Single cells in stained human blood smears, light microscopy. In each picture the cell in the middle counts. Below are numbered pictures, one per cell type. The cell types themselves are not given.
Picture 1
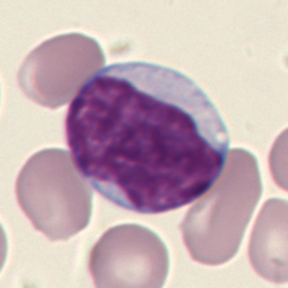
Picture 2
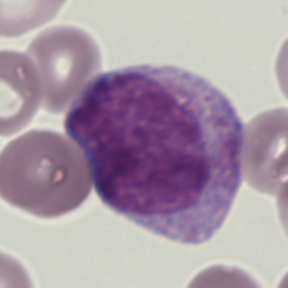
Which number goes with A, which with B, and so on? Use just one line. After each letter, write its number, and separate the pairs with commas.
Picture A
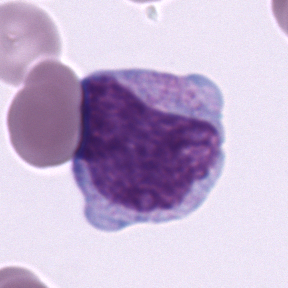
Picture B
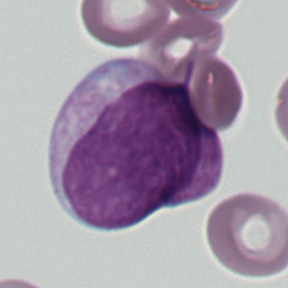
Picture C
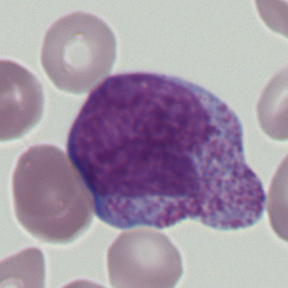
A 2, B 2, C 2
